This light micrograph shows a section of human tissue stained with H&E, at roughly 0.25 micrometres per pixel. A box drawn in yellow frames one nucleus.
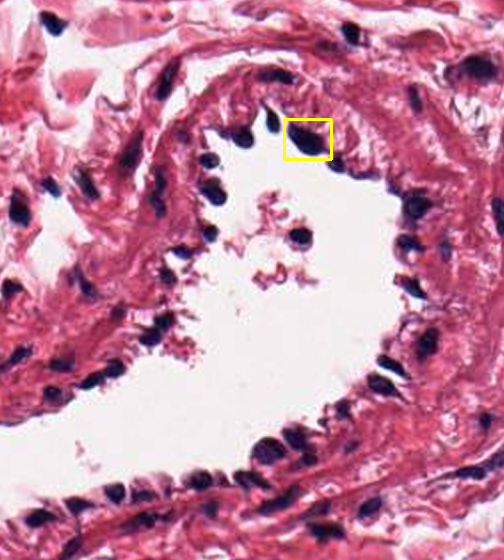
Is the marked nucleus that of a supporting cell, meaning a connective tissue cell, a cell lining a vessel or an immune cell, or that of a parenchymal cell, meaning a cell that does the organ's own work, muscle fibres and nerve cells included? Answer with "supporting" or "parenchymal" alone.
supporting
